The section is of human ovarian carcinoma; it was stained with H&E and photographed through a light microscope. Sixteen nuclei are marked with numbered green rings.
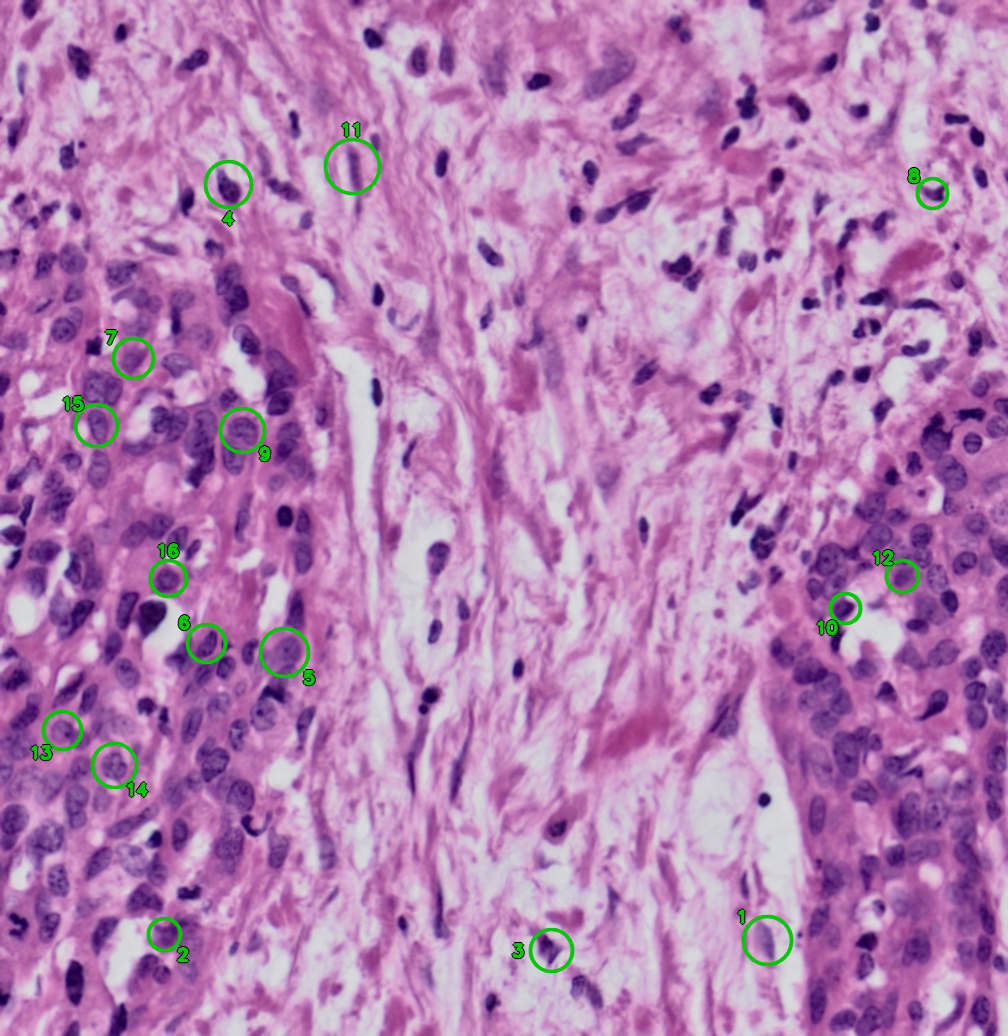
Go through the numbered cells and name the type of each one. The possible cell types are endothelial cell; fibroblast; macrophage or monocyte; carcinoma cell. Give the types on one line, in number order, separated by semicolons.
fibroblast; carcinoma cell; fibroblast; macrophage or monocyte; carcinoma cell; macrophage or monocyte; carcinoma cell; fibroblast; carcinoma cell; macrophage or monocyte; fibroblast; carcinoma cell; macrophage or monocyte; macrophage or monocyte; carcinoma cell; carcinoma cell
